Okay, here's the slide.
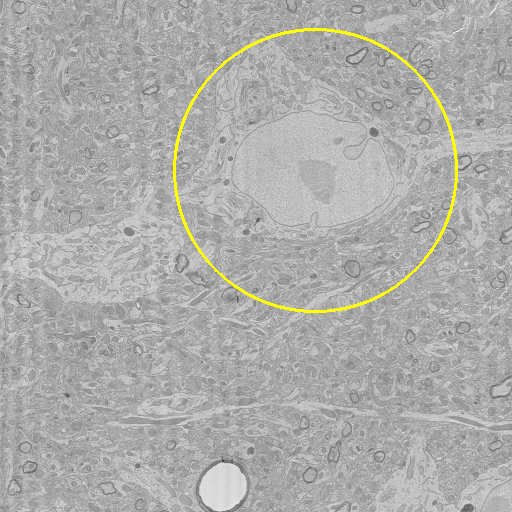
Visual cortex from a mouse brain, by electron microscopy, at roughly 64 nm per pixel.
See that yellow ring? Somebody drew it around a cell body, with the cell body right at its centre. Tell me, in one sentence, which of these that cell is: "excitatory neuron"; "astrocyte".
The cell in the middle of the ring is an excitatory neuron.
